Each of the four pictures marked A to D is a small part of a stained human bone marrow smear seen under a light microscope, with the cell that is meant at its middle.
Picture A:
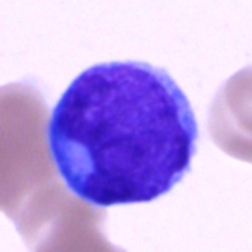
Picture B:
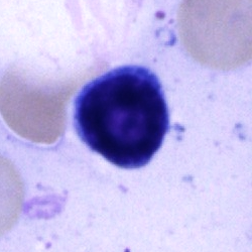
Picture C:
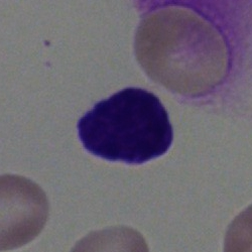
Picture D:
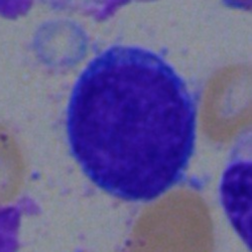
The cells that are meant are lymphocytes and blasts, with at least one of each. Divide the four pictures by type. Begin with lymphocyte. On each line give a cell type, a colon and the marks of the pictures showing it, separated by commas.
lymphocyte: B, C
blast: A, D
